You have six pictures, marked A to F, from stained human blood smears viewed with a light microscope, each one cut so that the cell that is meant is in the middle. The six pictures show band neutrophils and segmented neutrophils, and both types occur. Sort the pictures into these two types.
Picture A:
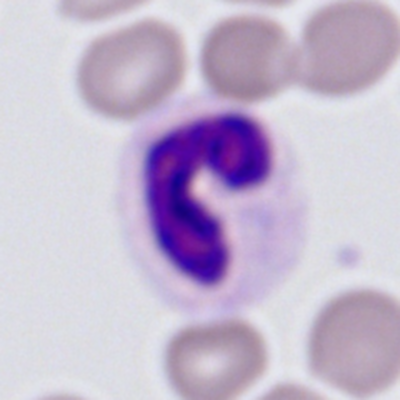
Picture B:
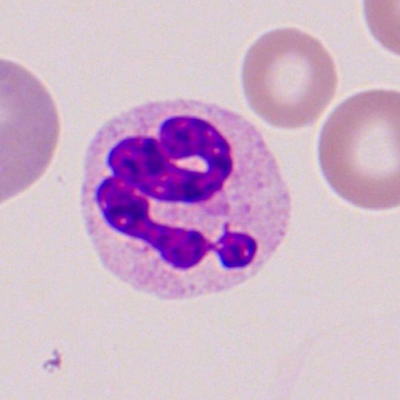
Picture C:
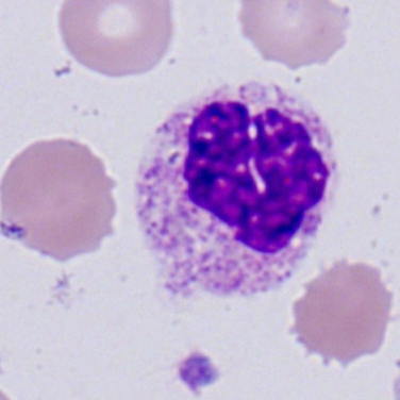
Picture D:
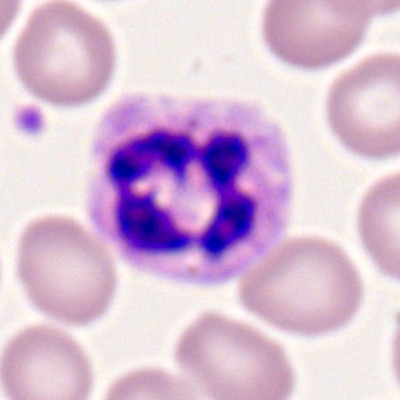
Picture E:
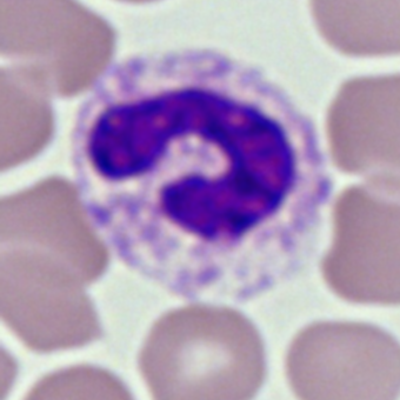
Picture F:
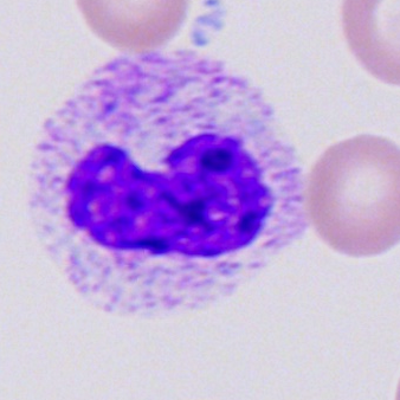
A: band neutrophil
B: segmented neutrophil
C: band neutrophil
D: segmented neutrophil
E: band neutrophil
F: band neutrophil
